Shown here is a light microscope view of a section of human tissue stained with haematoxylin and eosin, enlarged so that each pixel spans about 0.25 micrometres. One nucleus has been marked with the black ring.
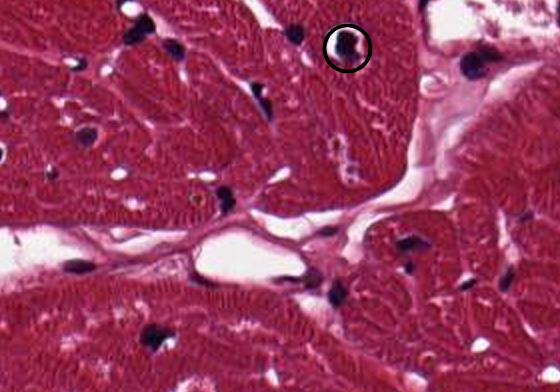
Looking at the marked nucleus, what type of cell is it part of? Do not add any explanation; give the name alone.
cardiomyocyte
